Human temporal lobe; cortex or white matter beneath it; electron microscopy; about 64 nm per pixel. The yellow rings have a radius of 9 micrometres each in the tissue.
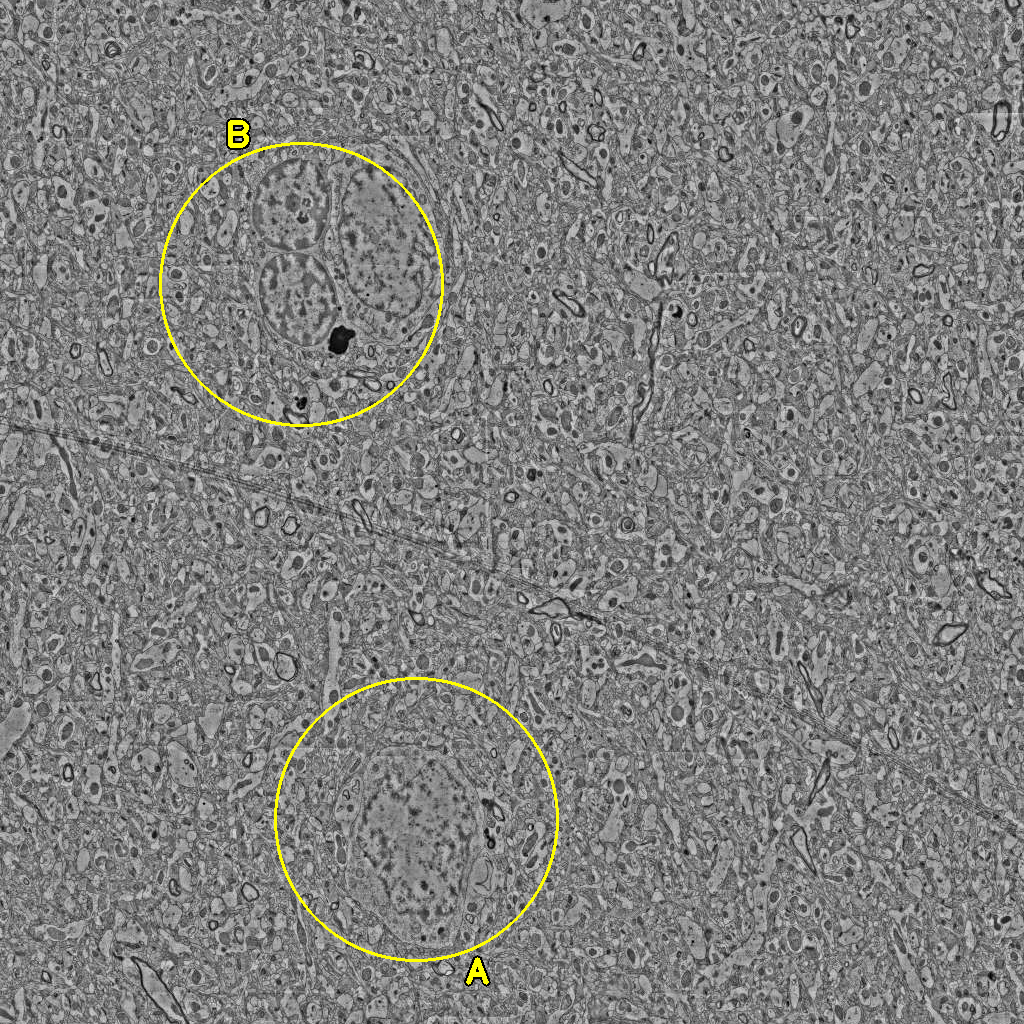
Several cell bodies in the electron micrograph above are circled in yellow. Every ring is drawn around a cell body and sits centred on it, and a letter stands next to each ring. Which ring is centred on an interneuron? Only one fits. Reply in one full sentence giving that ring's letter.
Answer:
The ring centred on the cell asked for is Ring A.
